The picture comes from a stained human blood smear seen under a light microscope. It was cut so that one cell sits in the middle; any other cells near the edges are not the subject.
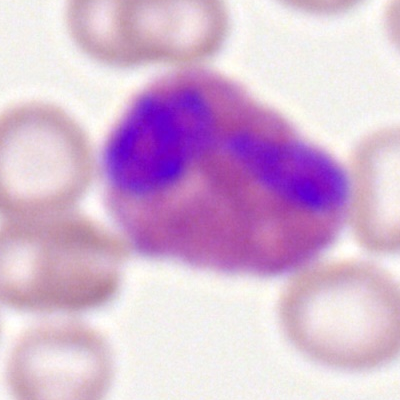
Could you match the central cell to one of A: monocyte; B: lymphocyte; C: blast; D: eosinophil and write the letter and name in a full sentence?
Option D stands as correct, the central cell being an eosinophil.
